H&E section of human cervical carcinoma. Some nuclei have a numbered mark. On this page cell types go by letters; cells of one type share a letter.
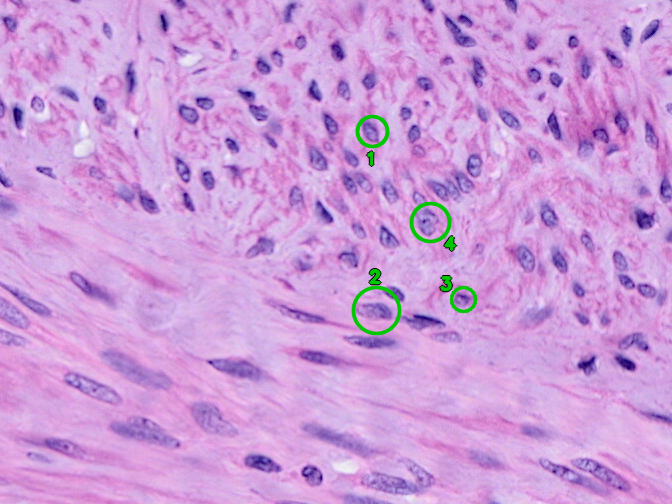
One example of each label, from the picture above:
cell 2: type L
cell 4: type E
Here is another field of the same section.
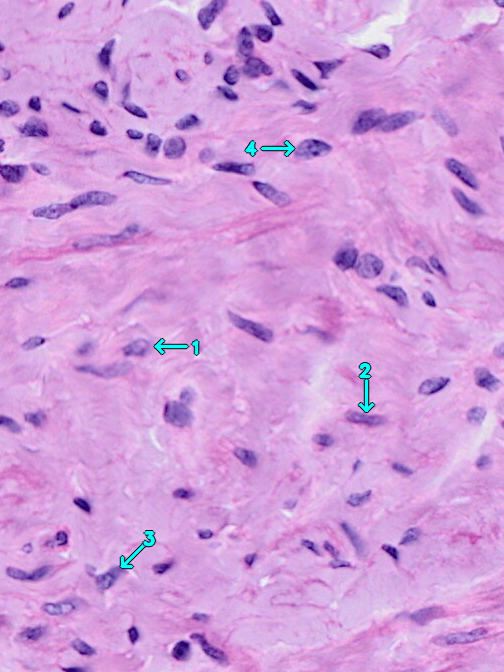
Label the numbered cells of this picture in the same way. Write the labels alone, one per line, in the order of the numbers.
type L
type E
type L
type L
